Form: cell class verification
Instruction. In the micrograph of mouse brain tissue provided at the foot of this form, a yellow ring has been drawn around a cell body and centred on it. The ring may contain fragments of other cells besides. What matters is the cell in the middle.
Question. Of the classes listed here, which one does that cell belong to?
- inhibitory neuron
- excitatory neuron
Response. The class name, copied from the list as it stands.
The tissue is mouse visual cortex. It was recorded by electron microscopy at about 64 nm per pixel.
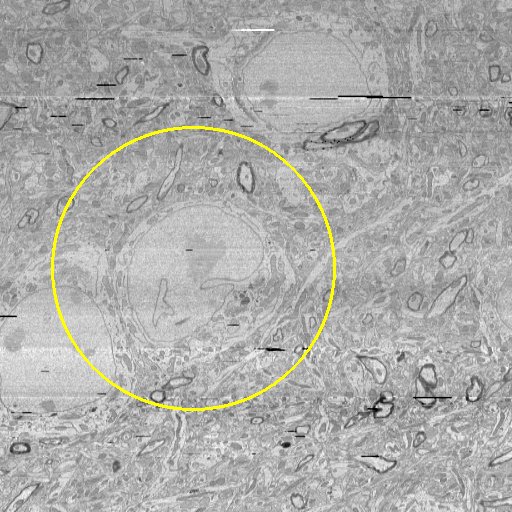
inhibitory neuron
